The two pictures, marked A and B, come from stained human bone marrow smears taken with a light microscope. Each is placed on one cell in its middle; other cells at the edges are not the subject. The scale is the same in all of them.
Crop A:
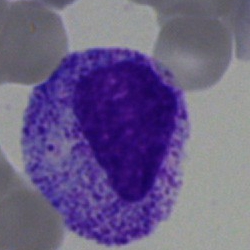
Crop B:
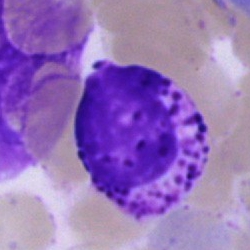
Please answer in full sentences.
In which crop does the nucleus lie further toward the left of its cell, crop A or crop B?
In crop B the nucleus is shifted more toward the left.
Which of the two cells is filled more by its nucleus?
The nucleus fills more of the cell in crop B than in crop A.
